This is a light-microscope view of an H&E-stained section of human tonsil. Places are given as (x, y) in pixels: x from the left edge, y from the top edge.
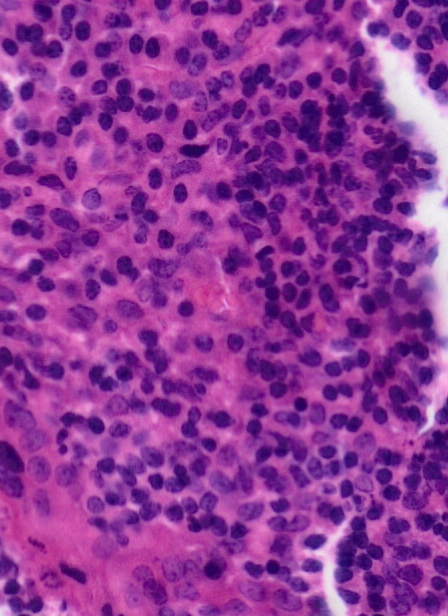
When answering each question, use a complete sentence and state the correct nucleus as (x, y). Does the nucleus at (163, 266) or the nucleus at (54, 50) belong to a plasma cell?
The nucleus located at (54, 50) is the one held within a plasma cell.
